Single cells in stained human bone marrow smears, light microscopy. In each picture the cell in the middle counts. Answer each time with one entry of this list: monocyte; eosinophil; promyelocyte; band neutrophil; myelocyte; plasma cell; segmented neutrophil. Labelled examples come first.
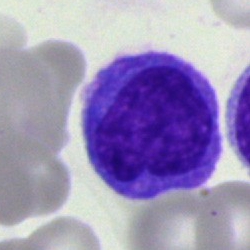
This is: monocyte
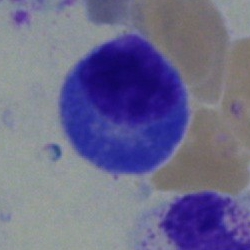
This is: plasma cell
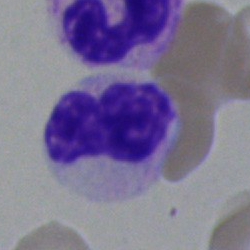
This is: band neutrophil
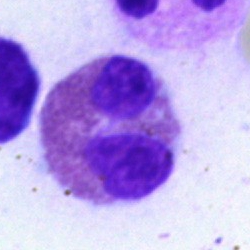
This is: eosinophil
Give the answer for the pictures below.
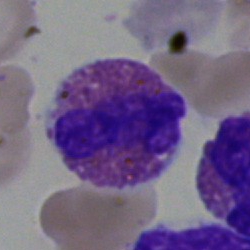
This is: eosinophil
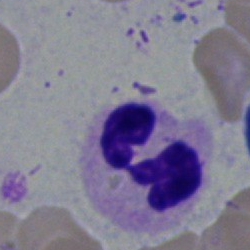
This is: segmented neutrophil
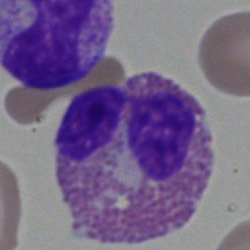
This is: eosinophil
